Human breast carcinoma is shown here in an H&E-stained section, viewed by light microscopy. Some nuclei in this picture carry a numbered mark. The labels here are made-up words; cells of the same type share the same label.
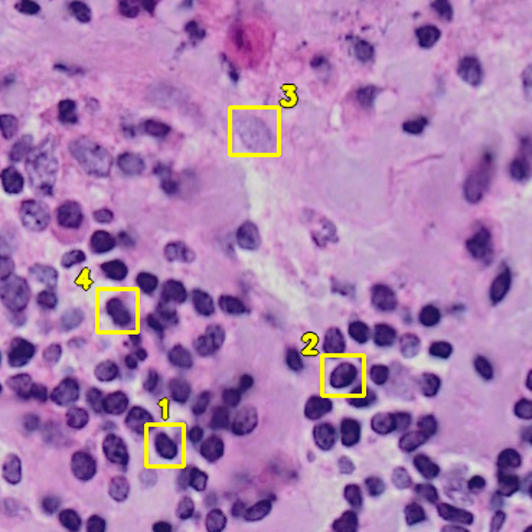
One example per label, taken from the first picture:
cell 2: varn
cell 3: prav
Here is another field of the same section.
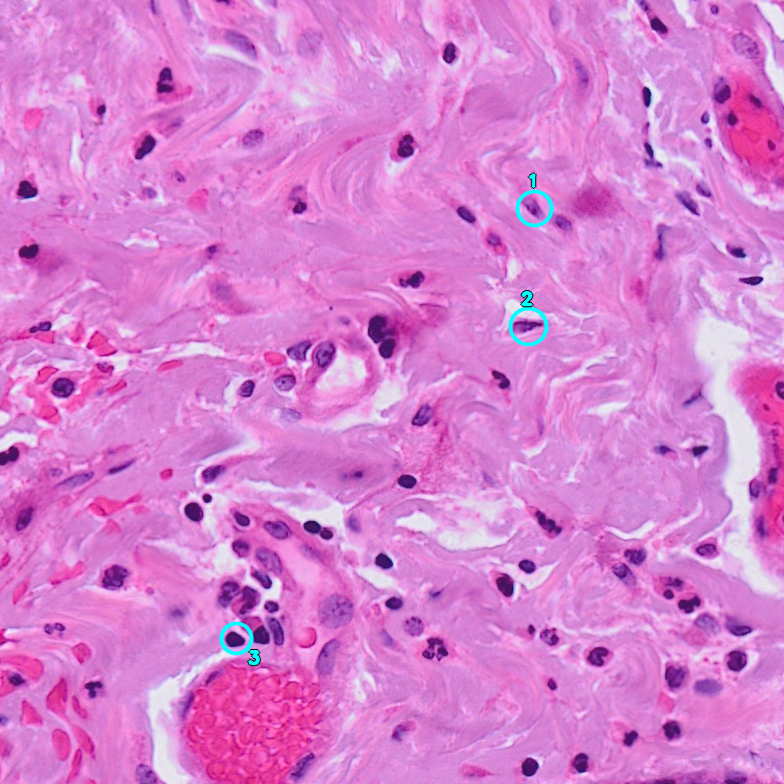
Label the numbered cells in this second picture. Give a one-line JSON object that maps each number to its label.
{"1": "prav", "2": "prav", "3": "varn"}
